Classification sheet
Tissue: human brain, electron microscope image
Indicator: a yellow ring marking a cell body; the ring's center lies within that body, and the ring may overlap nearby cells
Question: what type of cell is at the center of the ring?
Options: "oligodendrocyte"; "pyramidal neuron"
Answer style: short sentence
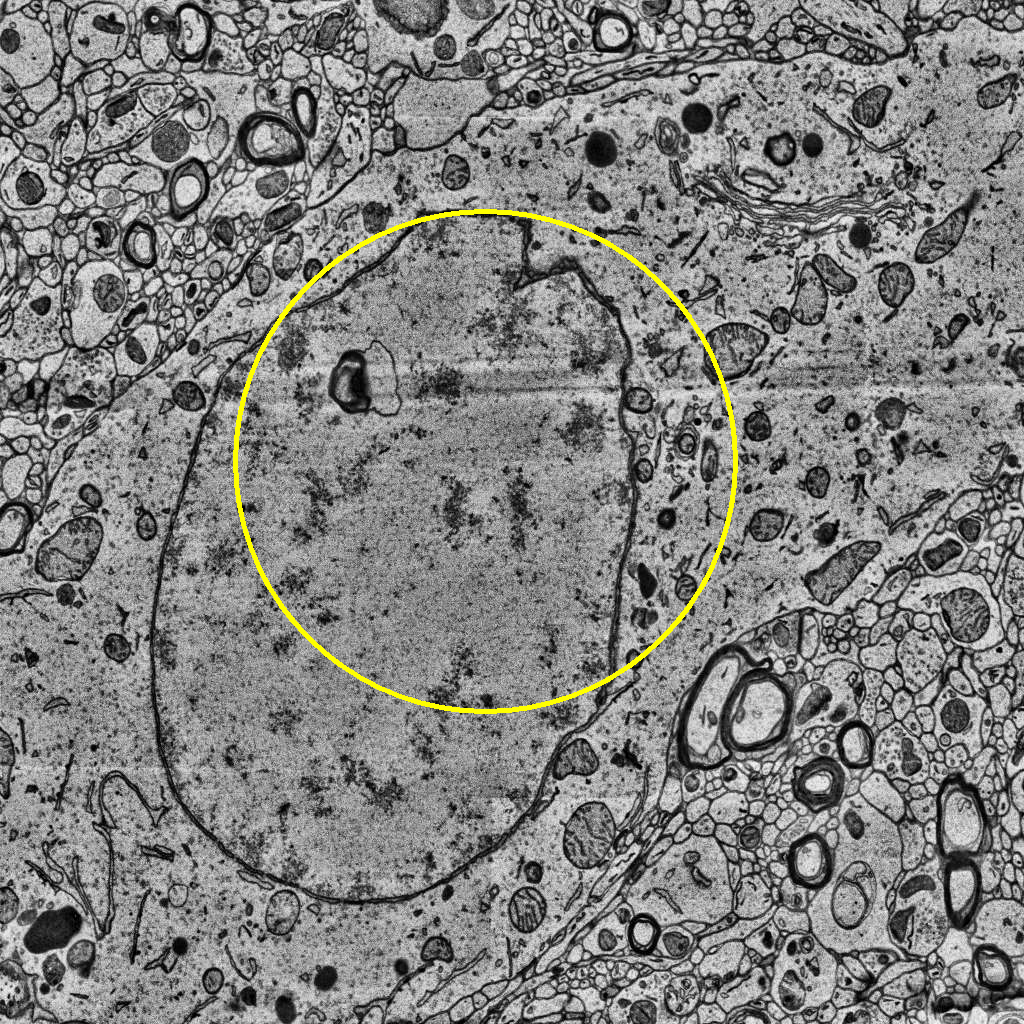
At the ring's center is a pyramidal neuron.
